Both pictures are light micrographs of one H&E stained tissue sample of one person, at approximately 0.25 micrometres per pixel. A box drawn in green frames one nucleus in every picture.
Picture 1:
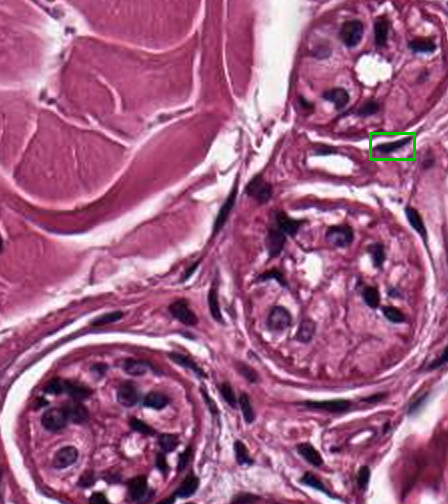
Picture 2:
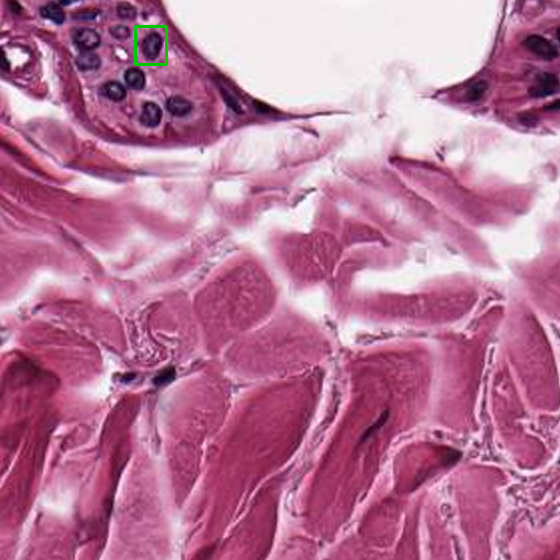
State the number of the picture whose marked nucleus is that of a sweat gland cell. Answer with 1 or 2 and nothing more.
2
